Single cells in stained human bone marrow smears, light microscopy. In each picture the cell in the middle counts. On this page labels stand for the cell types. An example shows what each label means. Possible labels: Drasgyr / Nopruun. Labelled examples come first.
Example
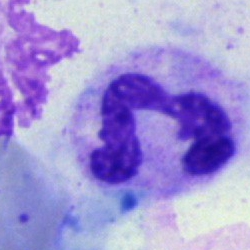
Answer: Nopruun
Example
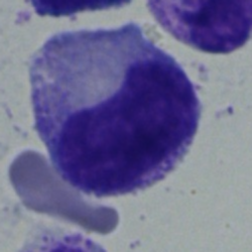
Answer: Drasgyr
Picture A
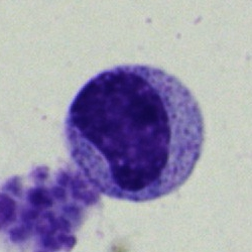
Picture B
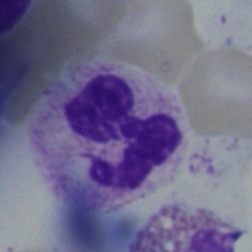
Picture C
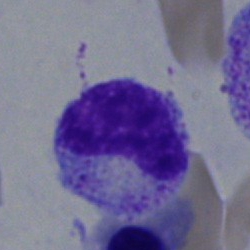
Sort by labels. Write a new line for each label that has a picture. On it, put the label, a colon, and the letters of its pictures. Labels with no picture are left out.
Drasgyr: A, C
Nopruun: B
